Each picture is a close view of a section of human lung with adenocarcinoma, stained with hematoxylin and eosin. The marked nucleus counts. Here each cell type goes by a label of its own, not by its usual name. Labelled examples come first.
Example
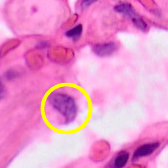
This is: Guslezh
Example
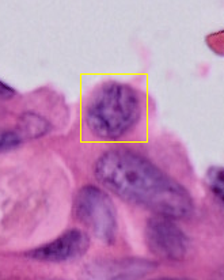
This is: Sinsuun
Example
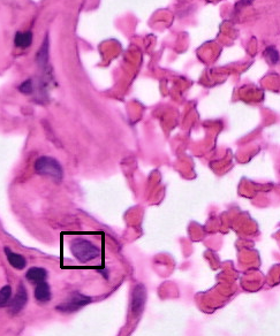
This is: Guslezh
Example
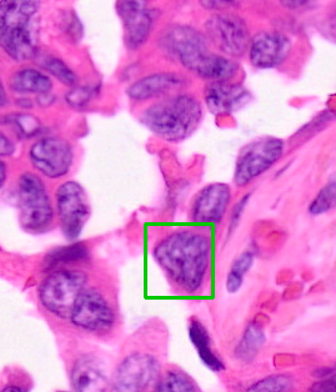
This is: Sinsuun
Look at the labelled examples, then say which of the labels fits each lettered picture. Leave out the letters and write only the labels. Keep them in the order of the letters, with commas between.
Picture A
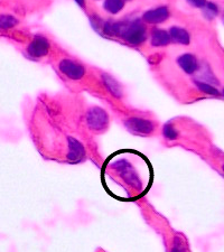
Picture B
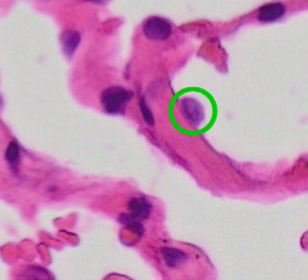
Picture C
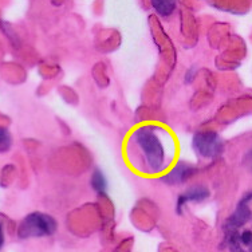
Guslezh, Guslezh, Guslezh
